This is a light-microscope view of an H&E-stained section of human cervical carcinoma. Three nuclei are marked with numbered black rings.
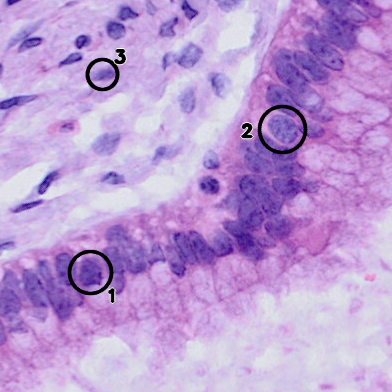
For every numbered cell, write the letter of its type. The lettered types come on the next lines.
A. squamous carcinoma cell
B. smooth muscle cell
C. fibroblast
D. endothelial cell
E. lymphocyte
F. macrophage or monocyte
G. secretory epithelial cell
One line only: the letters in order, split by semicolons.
G; G; C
